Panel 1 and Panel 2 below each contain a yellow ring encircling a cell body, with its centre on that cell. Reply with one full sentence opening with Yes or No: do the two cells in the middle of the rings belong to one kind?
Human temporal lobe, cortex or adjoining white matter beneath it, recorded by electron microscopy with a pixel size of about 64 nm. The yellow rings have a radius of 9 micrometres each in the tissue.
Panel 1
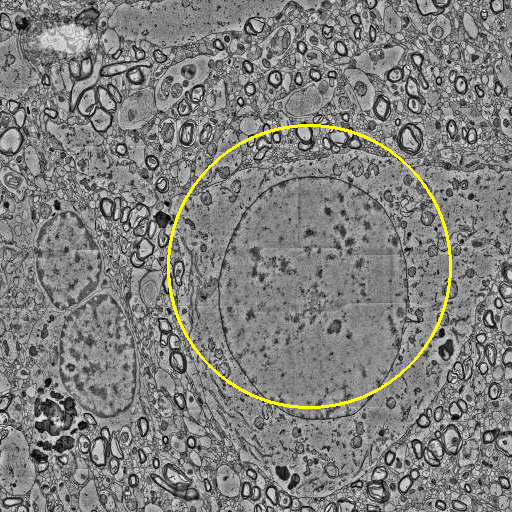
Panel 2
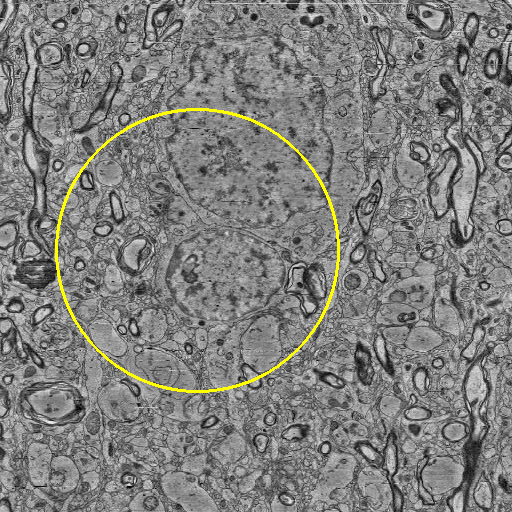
No, the cells at the middle of the Panel 1 ring and the Panel 2 ring are of two kinds.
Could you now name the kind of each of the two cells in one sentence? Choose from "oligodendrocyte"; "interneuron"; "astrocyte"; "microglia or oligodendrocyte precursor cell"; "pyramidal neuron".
The first ring encloses a pyramidal neuron; the second ring encloses an oligodendrocyte.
